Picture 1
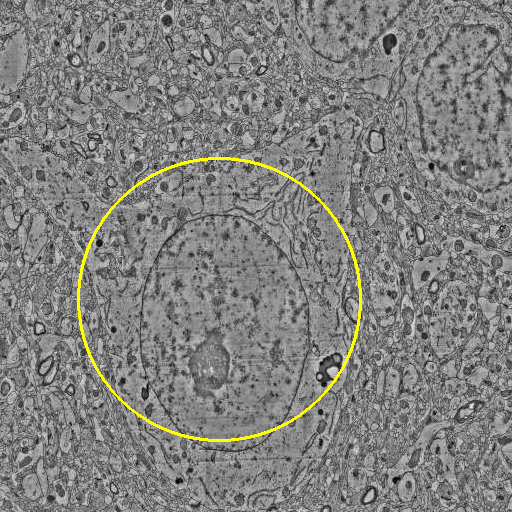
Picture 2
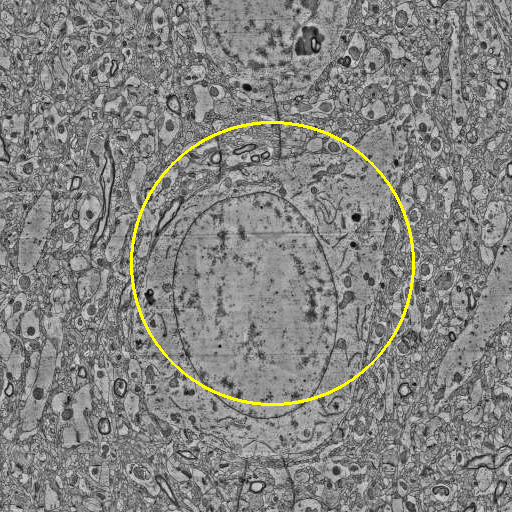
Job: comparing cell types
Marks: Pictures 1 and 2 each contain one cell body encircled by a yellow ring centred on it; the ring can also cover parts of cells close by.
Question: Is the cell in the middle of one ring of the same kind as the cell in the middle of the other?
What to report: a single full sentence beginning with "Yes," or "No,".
Yes, the cell at the ring centre in Picture 1 and its partner in Picture 2 are of one kind.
